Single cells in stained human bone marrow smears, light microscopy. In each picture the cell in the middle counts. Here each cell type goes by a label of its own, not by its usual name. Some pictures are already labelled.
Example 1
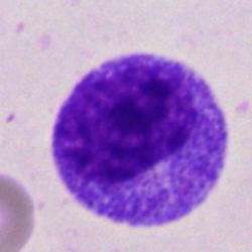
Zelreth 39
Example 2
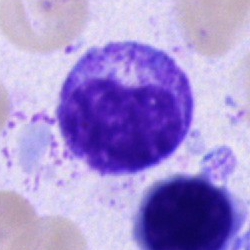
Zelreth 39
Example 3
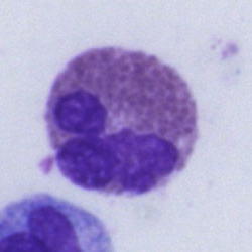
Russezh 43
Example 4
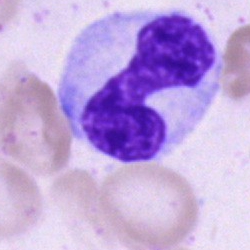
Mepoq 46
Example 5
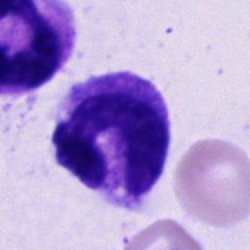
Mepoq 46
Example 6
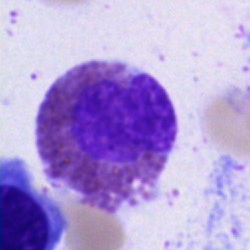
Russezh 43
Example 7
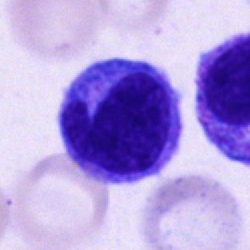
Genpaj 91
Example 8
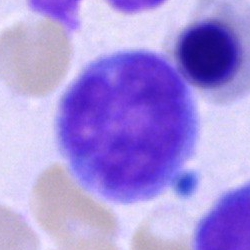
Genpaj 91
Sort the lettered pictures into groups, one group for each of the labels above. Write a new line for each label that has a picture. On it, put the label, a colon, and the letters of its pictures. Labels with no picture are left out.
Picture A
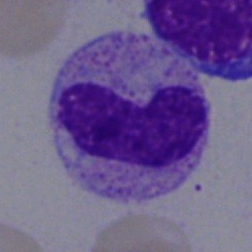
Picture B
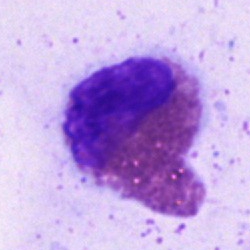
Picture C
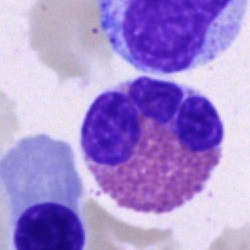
Russezh 43: B, C
Mepoq 46: A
